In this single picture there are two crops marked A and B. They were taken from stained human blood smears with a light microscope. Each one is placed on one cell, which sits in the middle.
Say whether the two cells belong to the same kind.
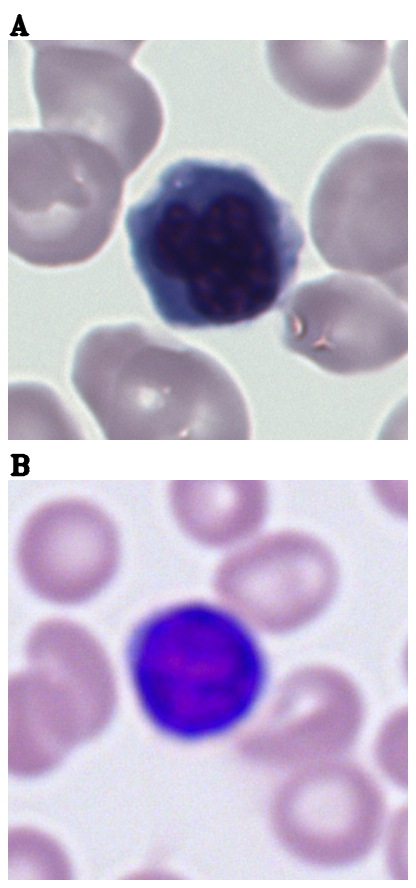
no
